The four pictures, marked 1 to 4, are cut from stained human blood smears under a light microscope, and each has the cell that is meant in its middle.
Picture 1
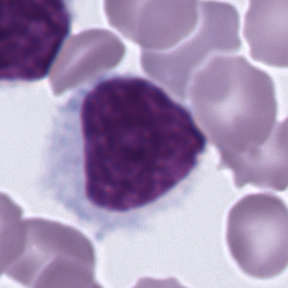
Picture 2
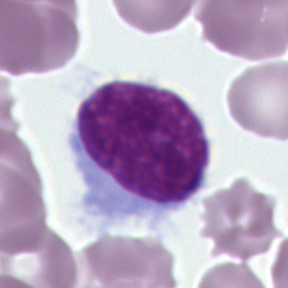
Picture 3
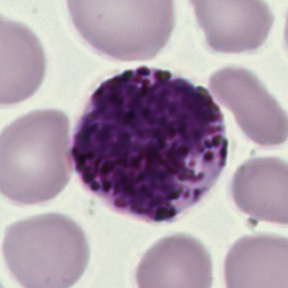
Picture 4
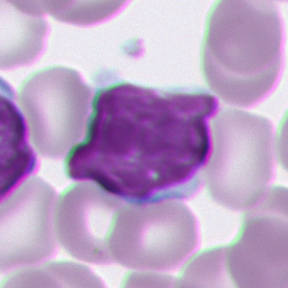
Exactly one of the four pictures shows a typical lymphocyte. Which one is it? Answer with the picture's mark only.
4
